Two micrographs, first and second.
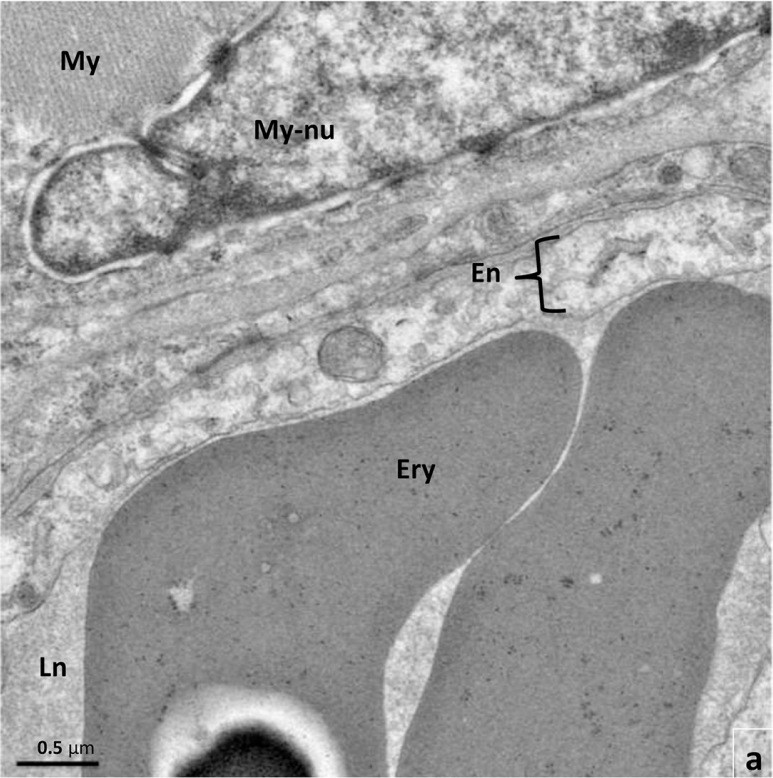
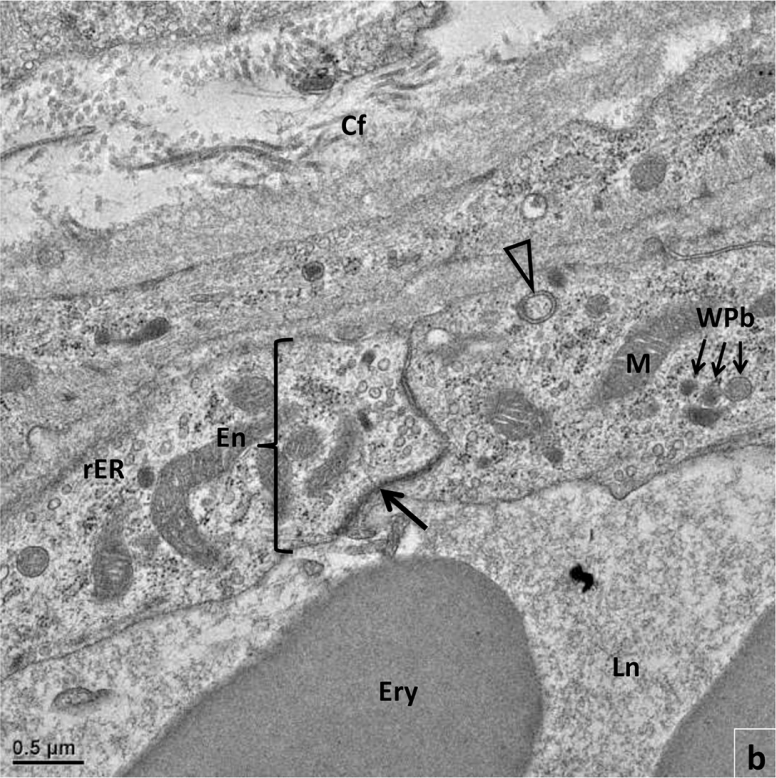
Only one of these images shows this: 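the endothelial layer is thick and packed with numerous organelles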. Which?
The second image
